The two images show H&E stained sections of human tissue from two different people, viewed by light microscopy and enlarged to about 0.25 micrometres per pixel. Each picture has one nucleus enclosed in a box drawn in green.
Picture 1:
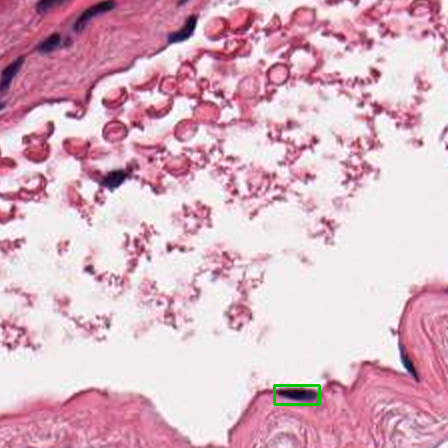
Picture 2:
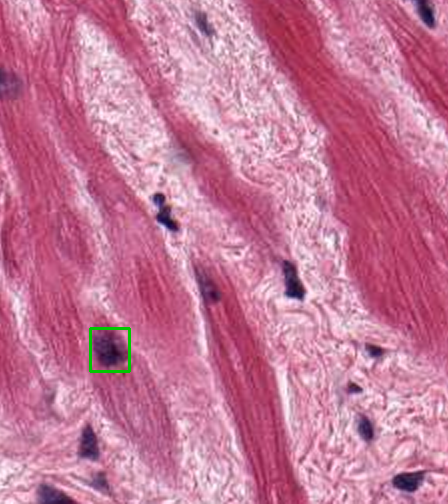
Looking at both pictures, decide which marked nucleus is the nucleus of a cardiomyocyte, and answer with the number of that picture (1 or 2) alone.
2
